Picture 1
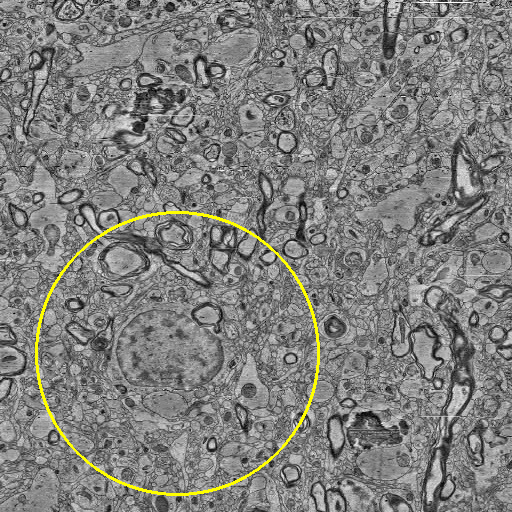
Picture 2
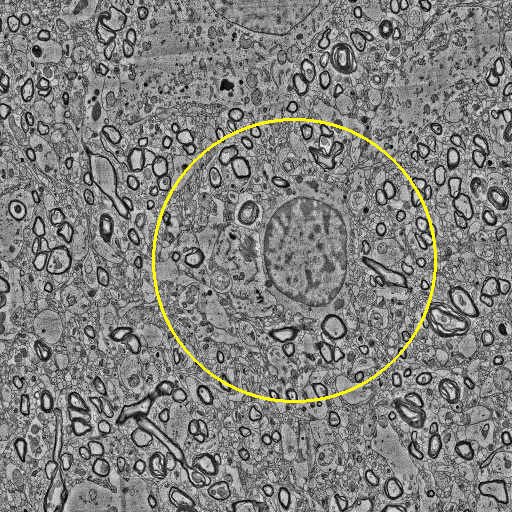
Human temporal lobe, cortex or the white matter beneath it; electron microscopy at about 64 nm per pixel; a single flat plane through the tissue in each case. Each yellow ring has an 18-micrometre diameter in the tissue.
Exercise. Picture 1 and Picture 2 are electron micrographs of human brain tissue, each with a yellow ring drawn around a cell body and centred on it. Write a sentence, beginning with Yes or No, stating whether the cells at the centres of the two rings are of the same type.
Yes, the cells at the centres of both rings are of the same type.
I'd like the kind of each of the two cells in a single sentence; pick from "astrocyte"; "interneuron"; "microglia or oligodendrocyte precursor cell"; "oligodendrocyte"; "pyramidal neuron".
The cell at the ring centre is an oligodendrocyte in both pictures.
